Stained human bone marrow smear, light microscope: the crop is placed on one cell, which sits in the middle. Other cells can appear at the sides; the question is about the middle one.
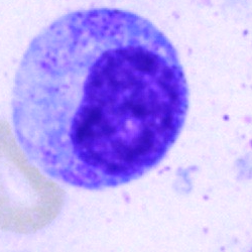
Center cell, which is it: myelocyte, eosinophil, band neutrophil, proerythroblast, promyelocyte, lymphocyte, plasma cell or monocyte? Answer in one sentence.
The cell marked by its central position in the crop is a promyelocyte.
